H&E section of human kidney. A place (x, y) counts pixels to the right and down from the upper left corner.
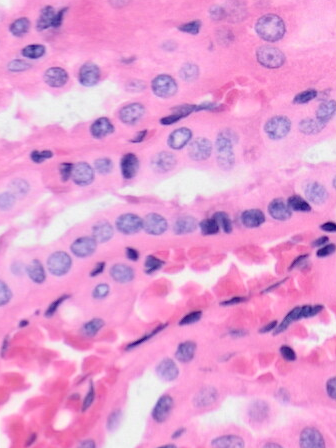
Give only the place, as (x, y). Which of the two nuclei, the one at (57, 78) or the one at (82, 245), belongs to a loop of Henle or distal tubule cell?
(57, 78)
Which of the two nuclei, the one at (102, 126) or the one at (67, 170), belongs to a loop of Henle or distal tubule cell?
(102, 126)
